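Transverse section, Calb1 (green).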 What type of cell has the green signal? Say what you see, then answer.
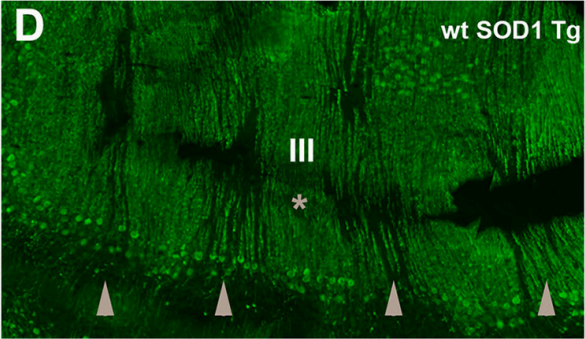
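Purkinje cells. Fine green processes run from that row upward in parallel through the overlying layer.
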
